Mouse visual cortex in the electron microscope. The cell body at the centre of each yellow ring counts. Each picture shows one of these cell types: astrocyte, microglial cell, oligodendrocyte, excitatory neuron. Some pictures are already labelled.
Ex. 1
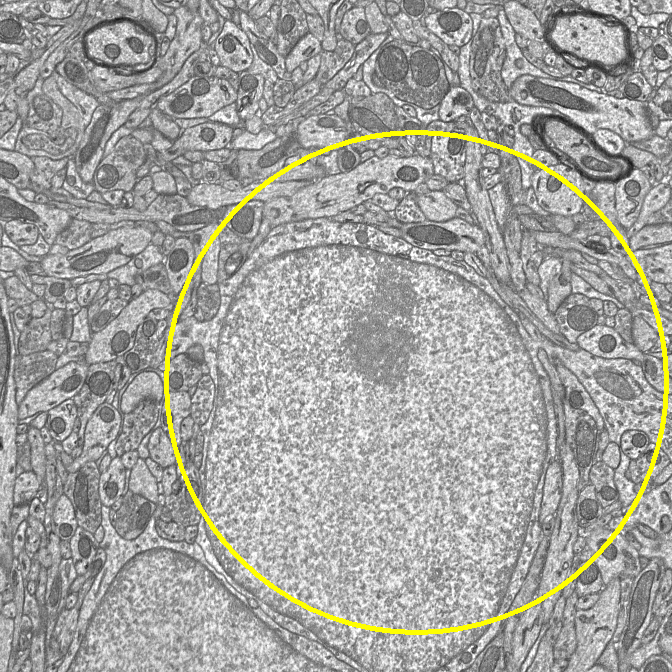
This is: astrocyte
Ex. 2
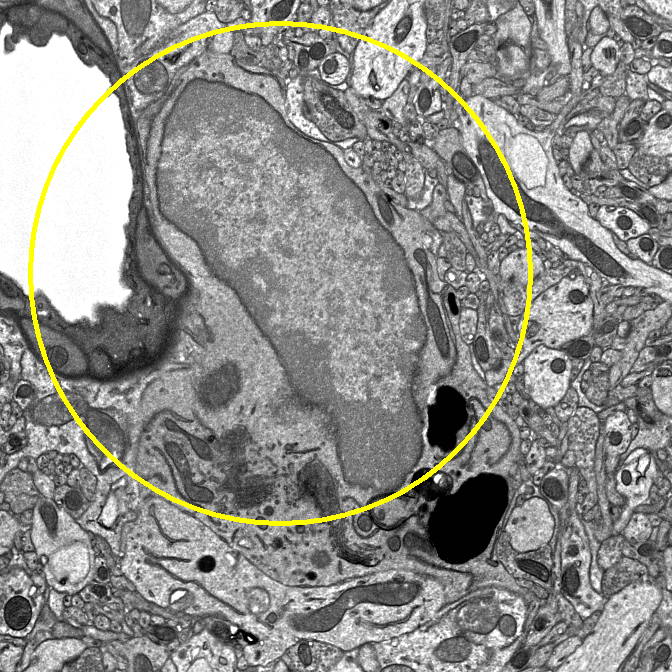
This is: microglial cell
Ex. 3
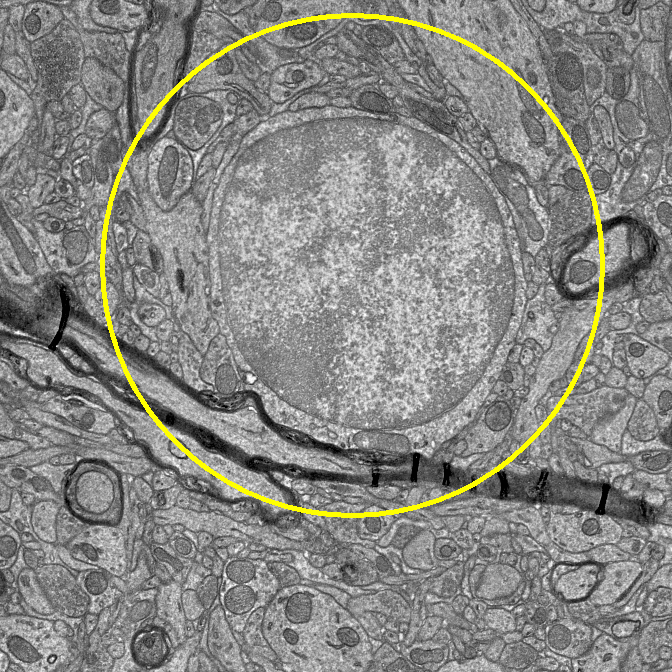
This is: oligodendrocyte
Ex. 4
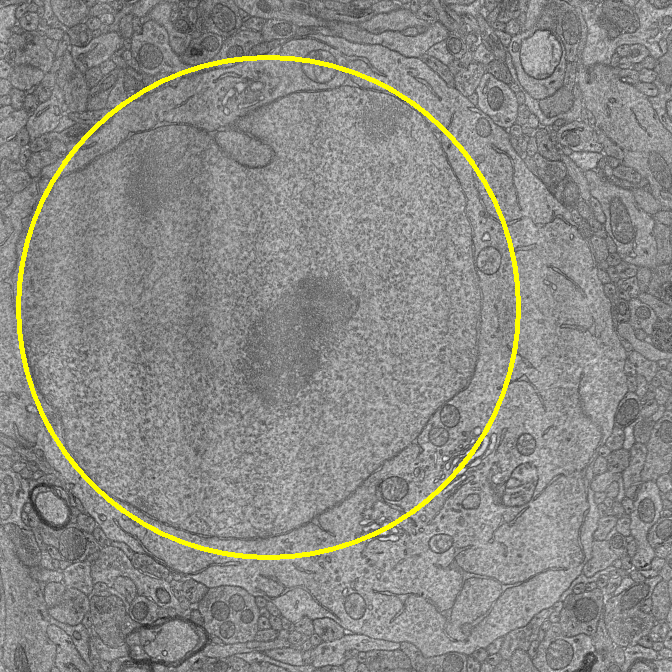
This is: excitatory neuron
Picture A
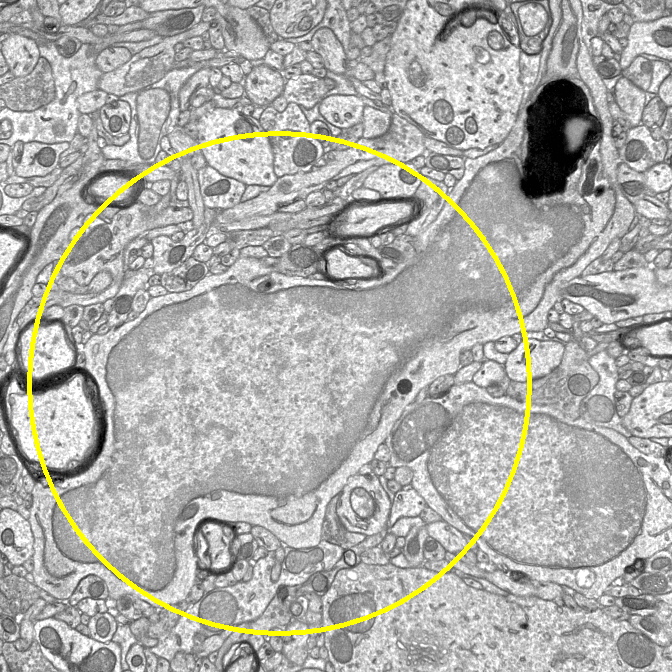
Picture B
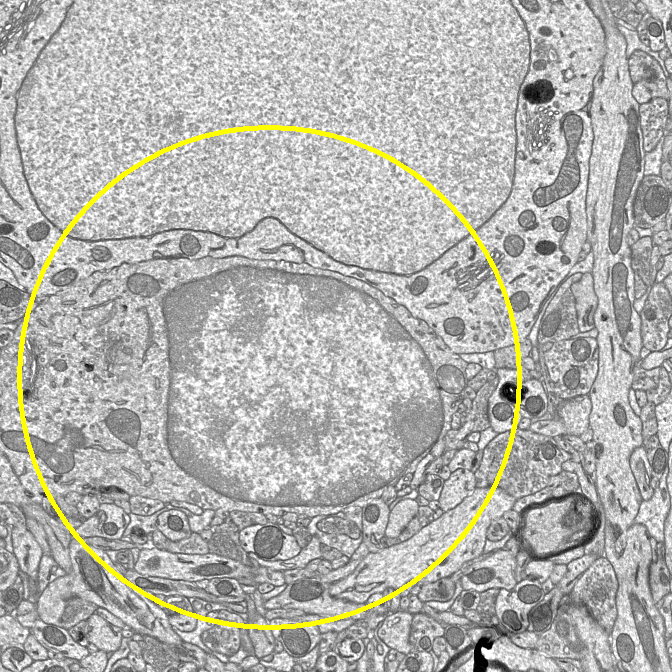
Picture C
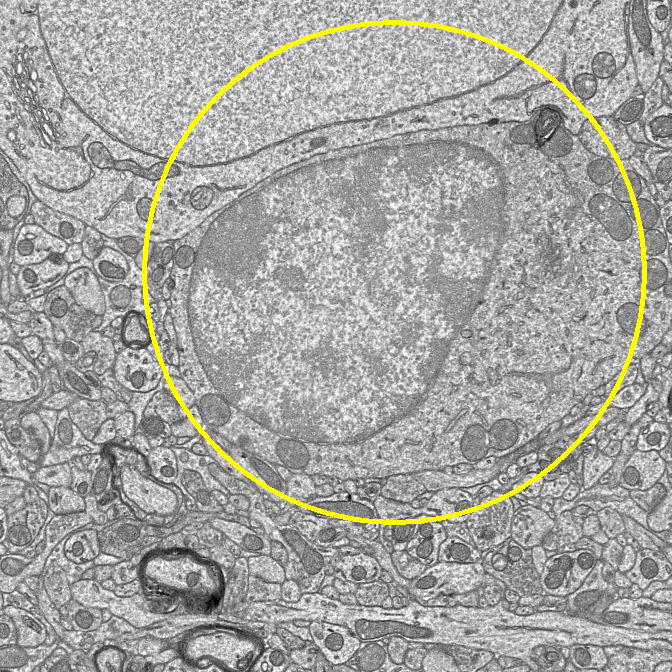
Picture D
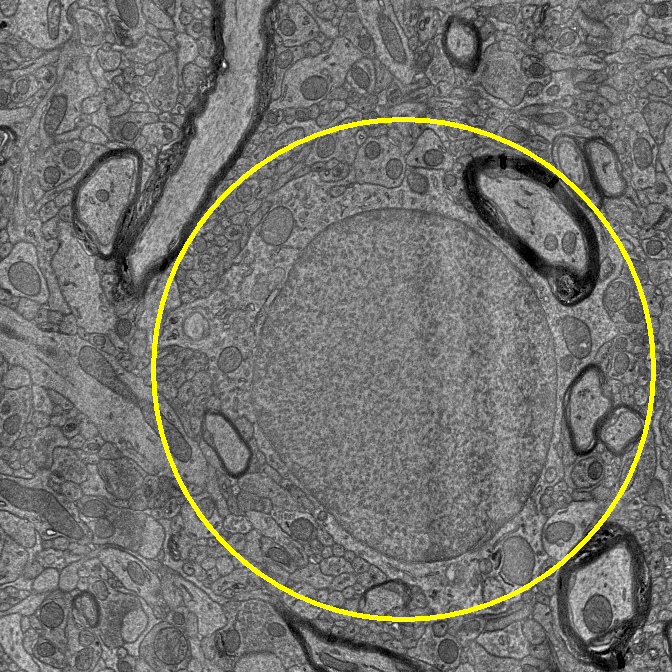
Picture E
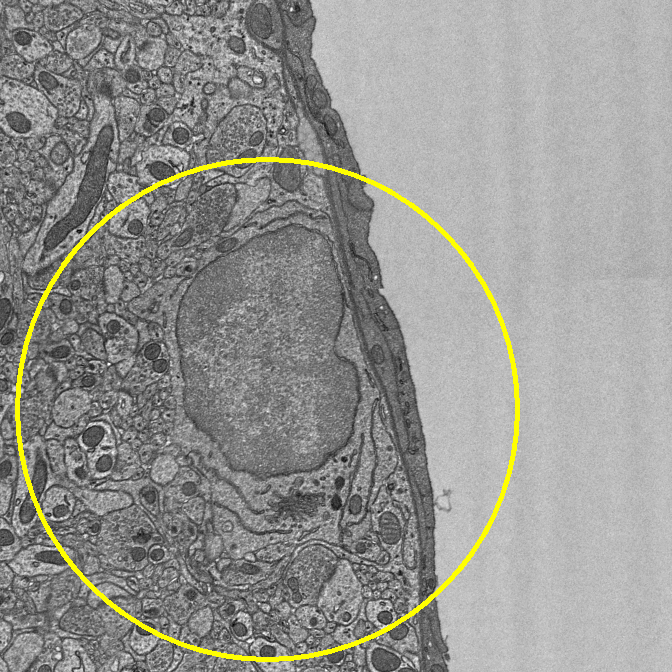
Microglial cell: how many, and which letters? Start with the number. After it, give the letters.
2, namely A, E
